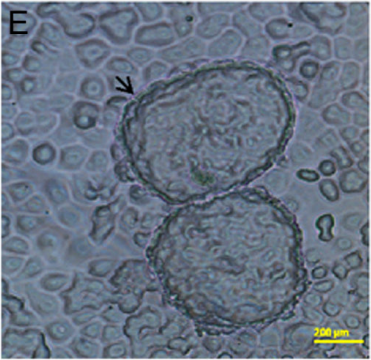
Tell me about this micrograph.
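This view shows two spheroids, round multicellular aggregates, lying side by side on a monolayer of epithelial cells. Each spheroid has a thick, dark, beaded rim and a paler, textured centre, and the two press against each other along one edge. Near the spheroids some cells of the layer look stretched or outlined by dark lines, where the aggregates meet the flat sheet.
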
